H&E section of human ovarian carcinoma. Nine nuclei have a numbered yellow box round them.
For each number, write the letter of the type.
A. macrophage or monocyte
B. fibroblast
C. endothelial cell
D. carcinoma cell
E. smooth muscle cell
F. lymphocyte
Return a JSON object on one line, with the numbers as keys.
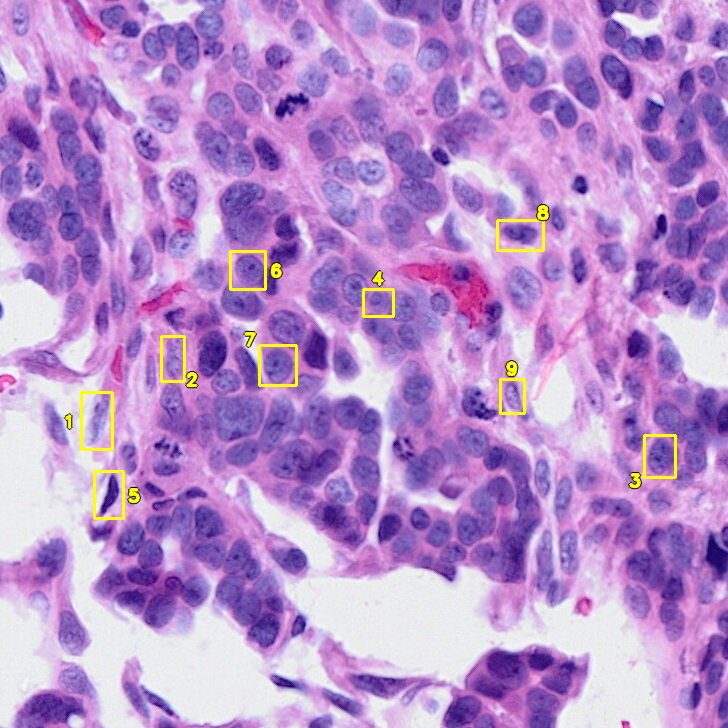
{"1": "B", "2": "B", "3": "D", "4": "D", "5": "B", "6": "D", "7": "D", "8": "A", "9": "B"}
